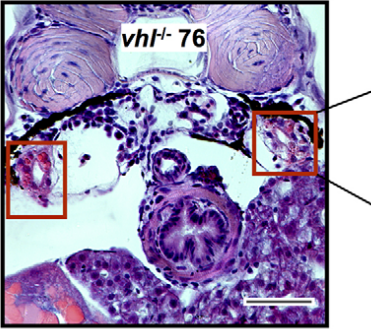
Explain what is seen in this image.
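This transverse section through a larva, stained pink and purple, shows the proximal pronephric tubules in two red boxes, one on each side of the midline. The boxed tubules are small. Their epithelial cells have purple nuclei and some pink granules around a narrow central space. Large pink blocks lie at the top of the section. Below the midline sits a round tube lined by folded epithelium, with a dark pigment line running above the tubules.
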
